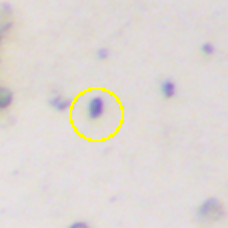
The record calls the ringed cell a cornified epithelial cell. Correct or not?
Not correct; it is a leukocyte.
